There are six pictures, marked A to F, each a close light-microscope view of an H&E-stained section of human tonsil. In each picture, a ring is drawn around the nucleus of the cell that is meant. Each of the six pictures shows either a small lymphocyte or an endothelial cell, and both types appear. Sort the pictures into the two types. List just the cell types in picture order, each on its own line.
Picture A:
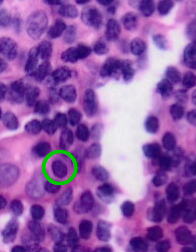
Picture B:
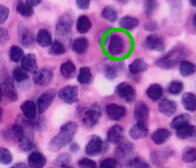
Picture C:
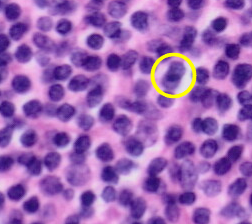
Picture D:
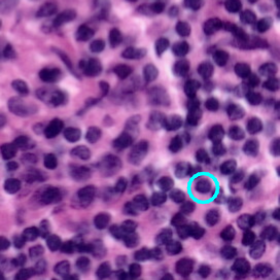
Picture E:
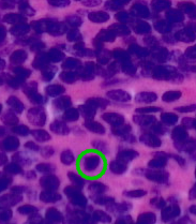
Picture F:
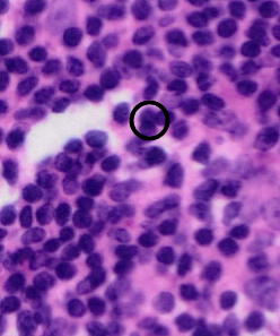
endothelial cell
endothelial cell
small lymphocyte
small lymphocyte
endothelial cell
small lymphocyte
